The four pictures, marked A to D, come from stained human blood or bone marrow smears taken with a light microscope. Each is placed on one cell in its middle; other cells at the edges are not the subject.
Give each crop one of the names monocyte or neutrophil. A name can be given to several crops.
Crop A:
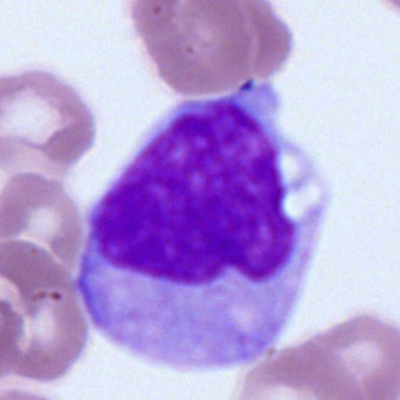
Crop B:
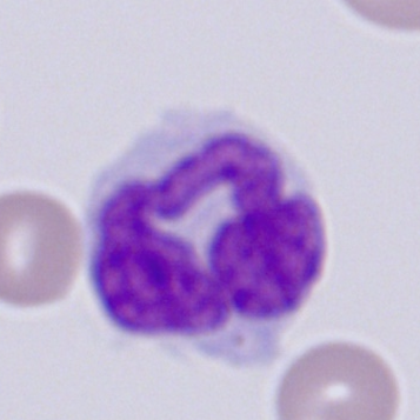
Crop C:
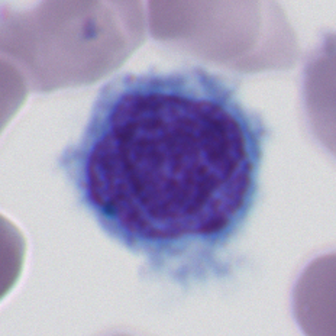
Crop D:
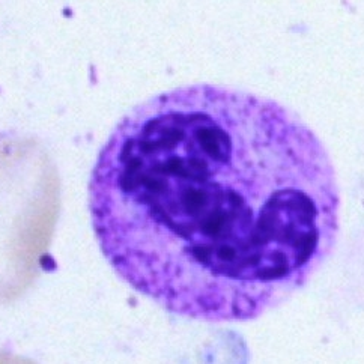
A: monocyte
B: monocyte
C: monocyte
D: neutrophil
